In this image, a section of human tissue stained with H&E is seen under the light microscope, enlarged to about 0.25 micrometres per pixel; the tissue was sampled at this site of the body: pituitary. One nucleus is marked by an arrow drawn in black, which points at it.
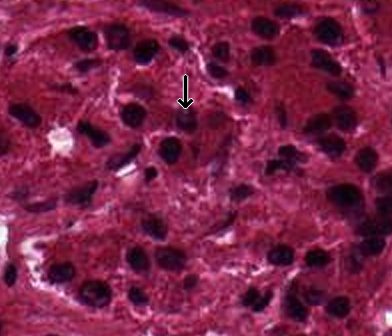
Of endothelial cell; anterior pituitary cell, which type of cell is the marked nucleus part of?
anterior pituitary cell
